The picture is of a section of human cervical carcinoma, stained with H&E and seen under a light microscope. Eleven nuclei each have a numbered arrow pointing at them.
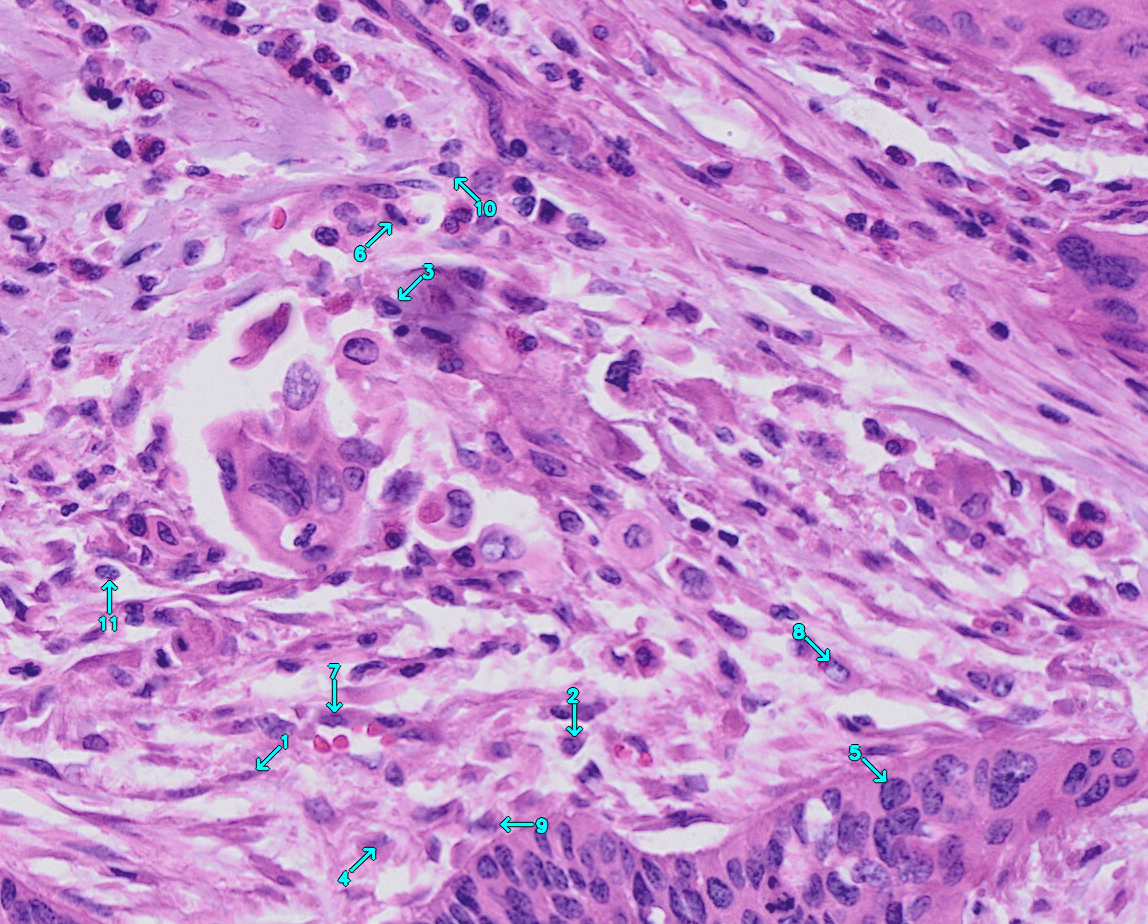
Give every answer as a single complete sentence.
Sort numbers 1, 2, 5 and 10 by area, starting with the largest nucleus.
From largest to smallest, the order is 5, 10, 2, 1.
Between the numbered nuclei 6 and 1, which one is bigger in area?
At about 1.5 times the area of nucleus 1, nucleus 6 is the larger of the two.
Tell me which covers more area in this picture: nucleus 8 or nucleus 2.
Number 8 is larger; its area is about 1.5 times that of number 2.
